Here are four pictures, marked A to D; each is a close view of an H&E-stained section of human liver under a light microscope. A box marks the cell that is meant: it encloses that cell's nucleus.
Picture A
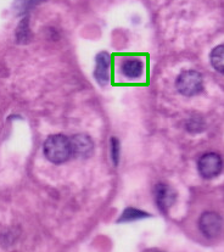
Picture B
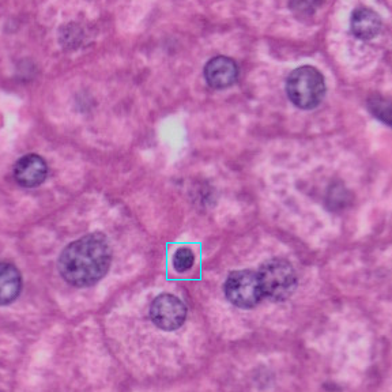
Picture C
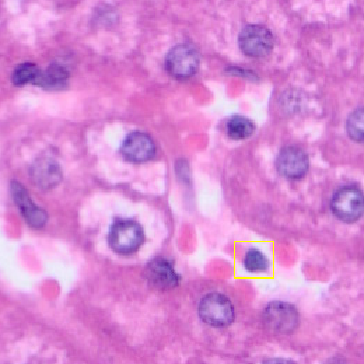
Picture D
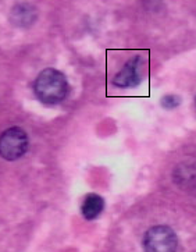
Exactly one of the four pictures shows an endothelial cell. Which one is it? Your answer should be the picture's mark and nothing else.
D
